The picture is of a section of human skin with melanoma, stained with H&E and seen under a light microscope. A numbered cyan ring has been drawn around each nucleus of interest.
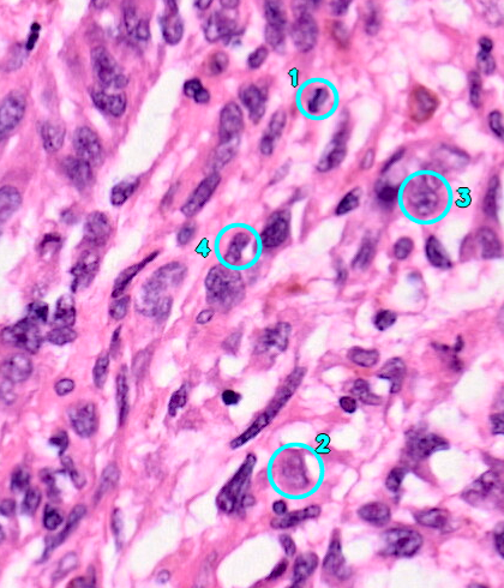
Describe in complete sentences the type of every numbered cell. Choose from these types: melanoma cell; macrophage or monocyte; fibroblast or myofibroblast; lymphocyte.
Cell 1 is a lymphocyte, cell 2 is a melanoma cell, cell 3 is a melanoma cell and cell 4 is a melanoma cell.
